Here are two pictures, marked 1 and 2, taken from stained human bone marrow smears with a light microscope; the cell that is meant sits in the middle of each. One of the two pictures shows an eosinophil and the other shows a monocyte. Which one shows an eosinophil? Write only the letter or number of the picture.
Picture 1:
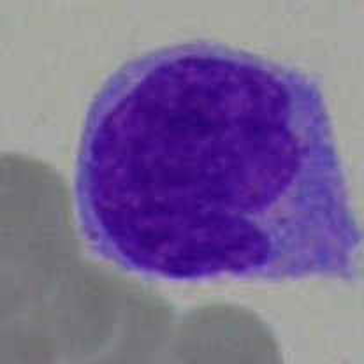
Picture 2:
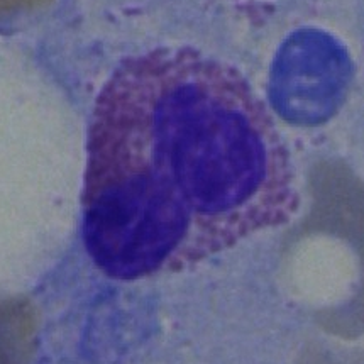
2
